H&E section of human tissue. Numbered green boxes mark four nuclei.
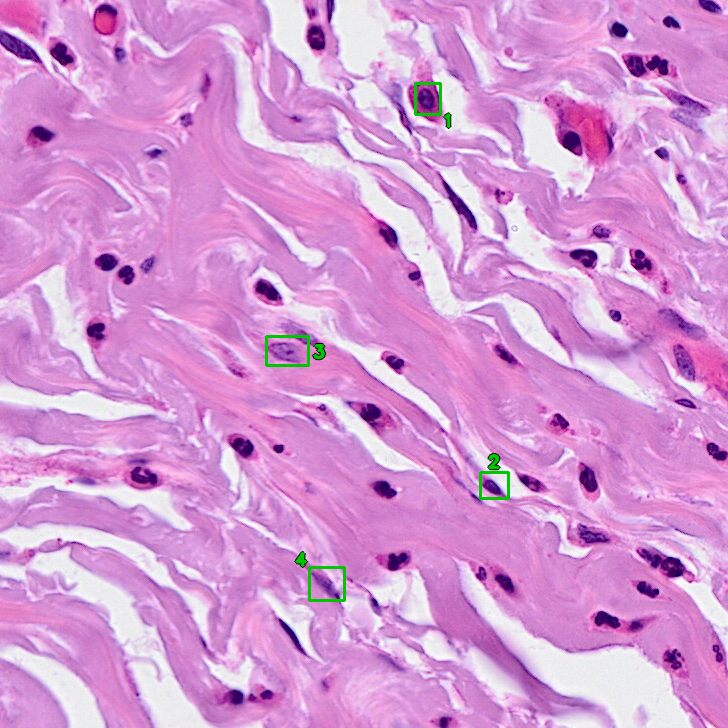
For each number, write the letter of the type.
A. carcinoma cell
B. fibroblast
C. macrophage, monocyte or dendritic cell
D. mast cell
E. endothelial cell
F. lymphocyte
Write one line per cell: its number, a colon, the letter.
1: D
2: B
3: B
4: B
